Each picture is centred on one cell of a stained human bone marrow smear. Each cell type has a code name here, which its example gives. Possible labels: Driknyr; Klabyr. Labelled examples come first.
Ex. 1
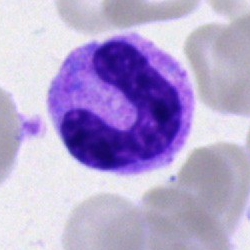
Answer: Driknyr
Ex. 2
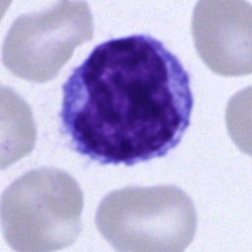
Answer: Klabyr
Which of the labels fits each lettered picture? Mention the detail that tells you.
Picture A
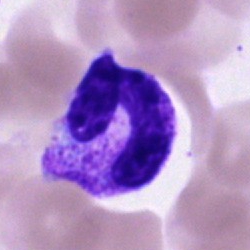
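Driknyr. Reason: The nucleus is a single curved band bent into a horseshoe shape.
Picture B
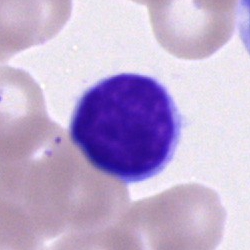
Klabyr. Reason: The nucleus fills almost the whole cell, leaving only a very thin rim of cytoplasm.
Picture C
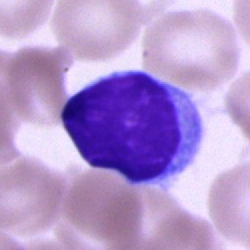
Klabyr. Reason: The nucleus fills most of the cell, leaving only scant cytoplasm.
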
